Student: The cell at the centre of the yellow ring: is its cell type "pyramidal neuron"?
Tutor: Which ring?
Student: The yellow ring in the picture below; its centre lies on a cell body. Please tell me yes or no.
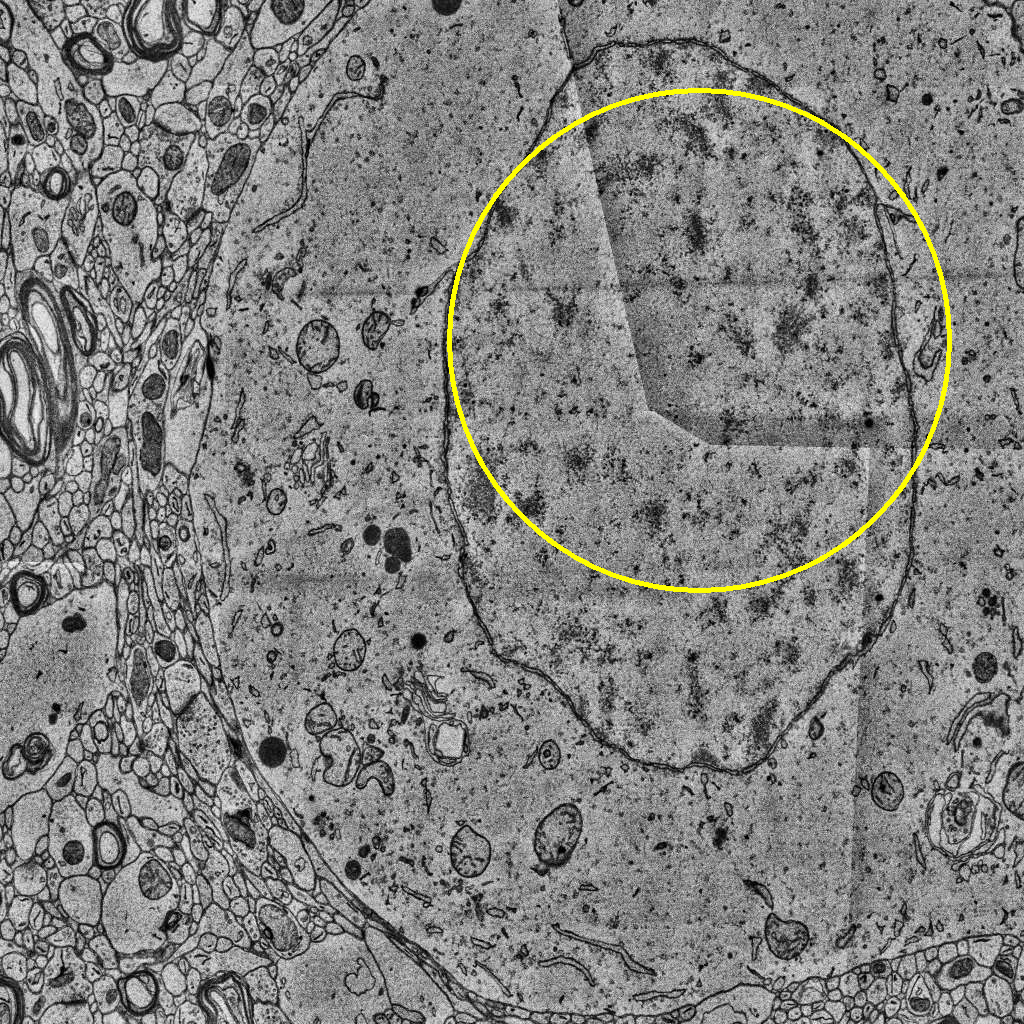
yes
